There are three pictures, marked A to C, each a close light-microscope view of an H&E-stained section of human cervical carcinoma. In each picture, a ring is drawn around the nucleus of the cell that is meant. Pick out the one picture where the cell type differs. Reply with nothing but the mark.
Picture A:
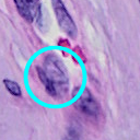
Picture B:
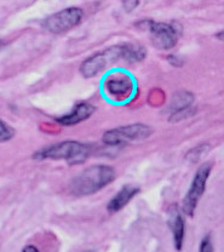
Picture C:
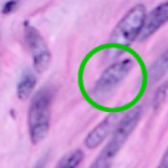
C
